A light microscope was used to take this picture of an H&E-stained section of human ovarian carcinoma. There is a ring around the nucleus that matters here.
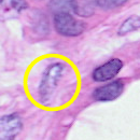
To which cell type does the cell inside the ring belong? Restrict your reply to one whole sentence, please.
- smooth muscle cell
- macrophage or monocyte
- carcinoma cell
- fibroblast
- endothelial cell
With respect to cell type, the cell inside the ring is a fibroblast.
